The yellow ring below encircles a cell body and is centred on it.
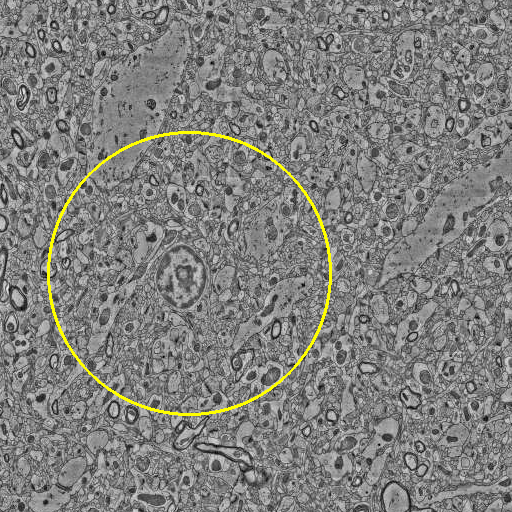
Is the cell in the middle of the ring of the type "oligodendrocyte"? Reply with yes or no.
no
